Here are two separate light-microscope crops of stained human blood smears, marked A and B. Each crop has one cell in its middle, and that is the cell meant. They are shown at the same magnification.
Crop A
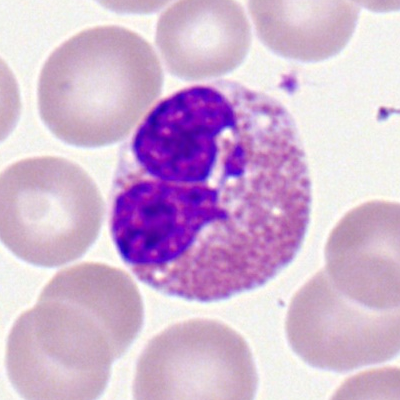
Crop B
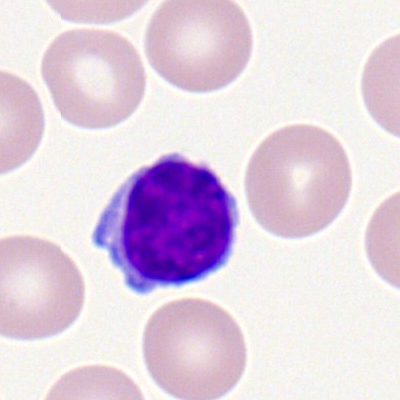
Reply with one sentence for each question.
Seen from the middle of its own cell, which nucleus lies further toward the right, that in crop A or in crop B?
In crop B the nucleus is shifted more toward the right.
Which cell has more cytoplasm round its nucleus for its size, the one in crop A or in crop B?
In crop A the nucleus takes up the smaller part of its cell.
